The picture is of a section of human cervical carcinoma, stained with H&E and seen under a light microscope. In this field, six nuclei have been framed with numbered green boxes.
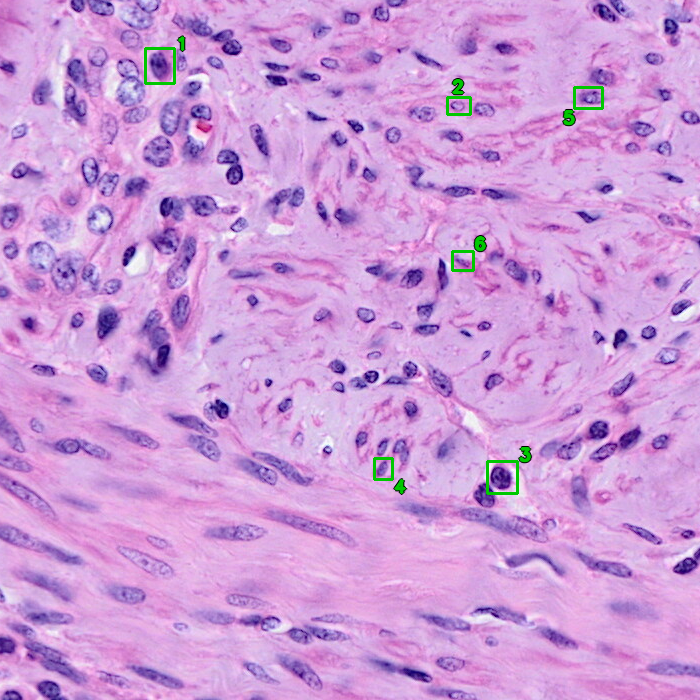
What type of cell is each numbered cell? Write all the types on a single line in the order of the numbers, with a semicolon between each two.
lymphocyte; smooth muscle cell; lymphocyte; smooth muscle cell; smooth muscle cell; smooth muscle cell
